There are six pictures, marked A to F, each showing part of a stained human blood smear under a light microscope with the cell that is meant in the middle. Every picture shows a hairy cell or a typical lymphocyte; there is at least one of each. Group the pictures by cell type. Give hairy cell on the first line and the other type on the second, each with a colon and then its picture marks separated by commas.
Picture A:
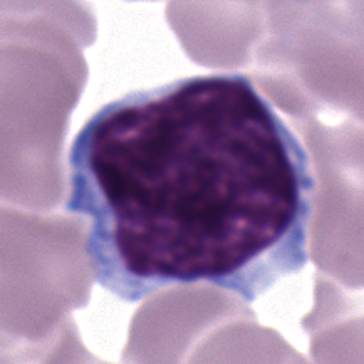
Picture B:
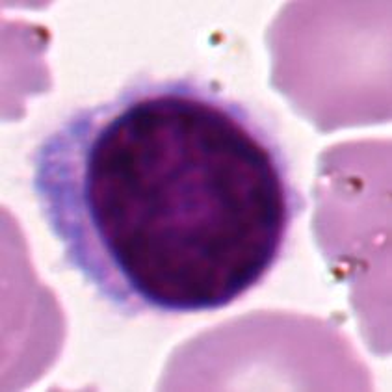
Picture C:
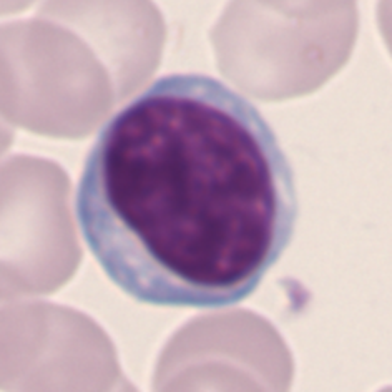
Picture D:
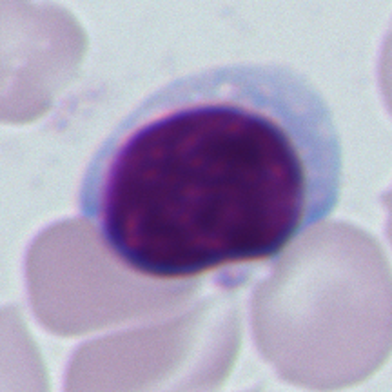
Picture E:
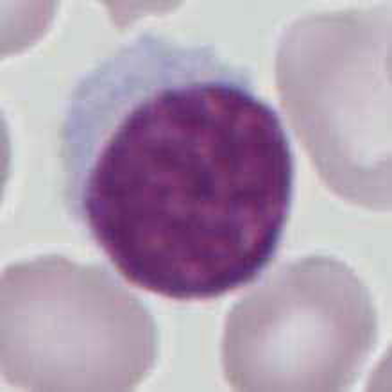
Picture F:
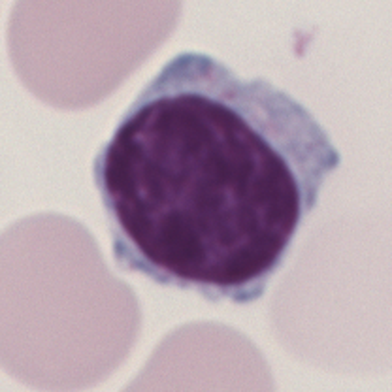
hairy cell: B, E
typical lymphocyte: A, C, D, F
